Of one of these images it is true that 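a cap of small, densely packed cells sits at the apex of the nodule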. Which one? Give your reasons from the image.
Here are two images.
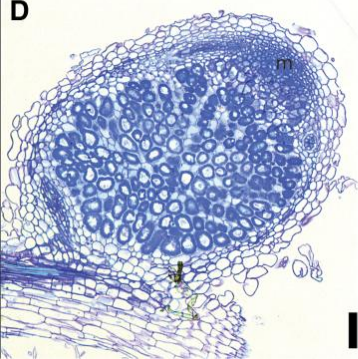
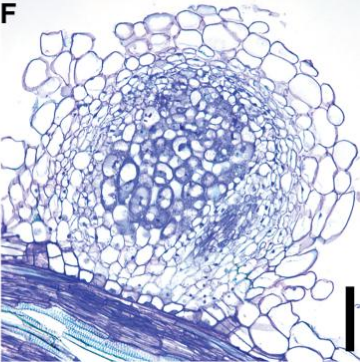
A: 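The first image. Second image: the outgrowth is surrounded by large, pale cells, with no apical zone of small dense cells. First image: a distinct zone of small, darkly stained cells lies at the upper right apex.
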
